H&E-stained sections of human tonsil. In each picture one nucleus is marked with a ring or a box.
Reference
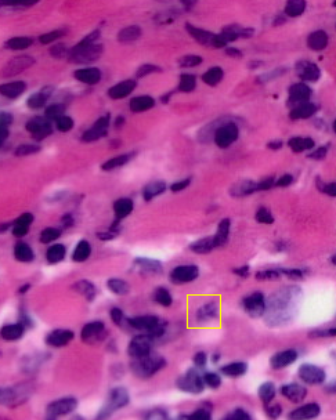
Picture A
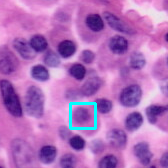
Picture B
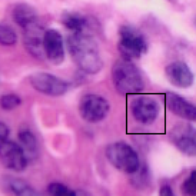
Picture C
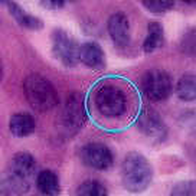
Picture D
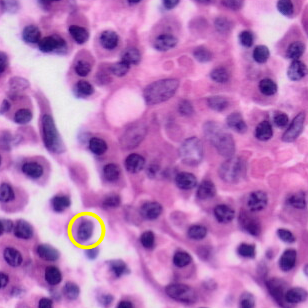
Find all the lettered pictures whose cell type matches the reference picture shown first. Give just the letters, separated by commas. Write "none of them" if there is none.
none of them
